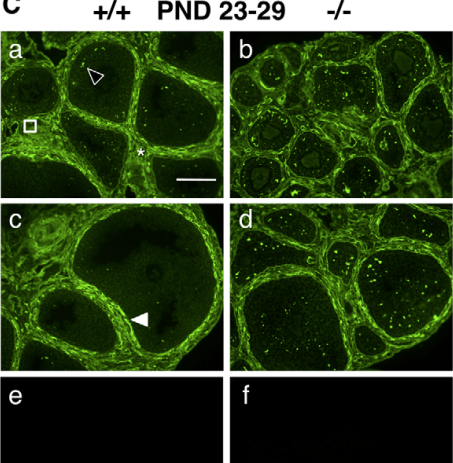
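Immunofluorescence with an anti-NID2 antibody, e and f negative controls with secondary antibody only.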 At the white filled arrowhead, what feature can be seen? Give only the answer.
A: Follicular basal lamina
